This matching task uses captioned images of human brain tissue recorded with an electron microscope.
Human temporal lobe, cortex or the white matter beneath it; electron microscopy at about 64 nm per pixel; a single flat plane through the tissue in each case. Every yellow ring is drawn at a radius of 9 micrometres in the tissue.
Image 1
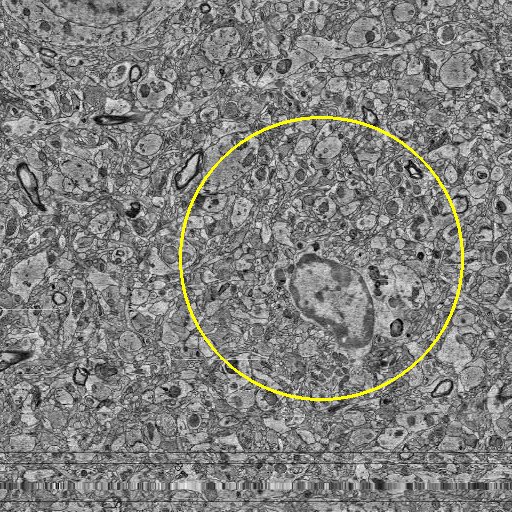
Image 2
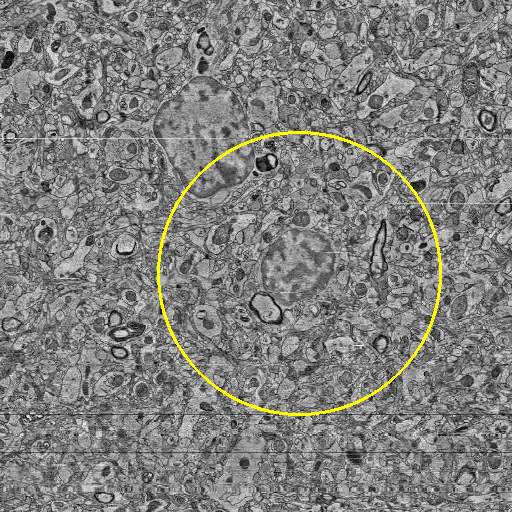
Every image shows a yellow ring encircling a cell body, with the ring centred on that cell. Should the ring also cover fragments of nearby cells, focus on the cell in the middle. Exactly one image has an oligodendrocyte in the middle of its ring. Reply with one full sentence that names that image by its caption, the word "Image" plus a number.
Image 2 shows the cell in question at the centre of its yellow ring.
